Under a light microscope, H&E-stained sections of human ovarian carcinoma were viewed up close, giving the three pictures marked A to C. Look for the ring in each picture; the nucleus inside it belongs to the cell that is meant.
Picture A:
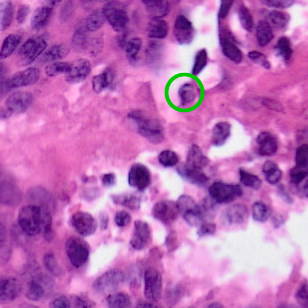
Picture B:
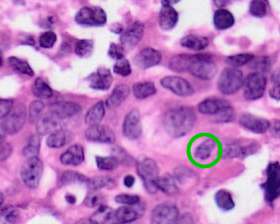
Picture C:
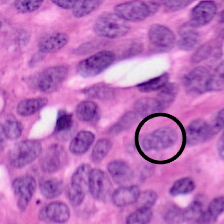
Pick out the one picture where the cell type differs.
C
